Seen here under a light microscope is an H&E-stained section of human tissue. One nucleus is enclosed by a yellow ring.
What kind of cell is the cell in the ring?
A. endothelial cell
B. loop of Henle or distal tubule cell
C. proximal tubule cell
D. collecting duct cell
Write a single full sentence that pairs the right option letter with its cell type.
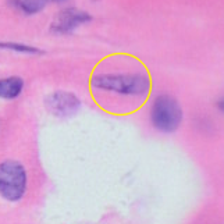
That the cell in the ring is a collecting duct cell makes option D the correct choice.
